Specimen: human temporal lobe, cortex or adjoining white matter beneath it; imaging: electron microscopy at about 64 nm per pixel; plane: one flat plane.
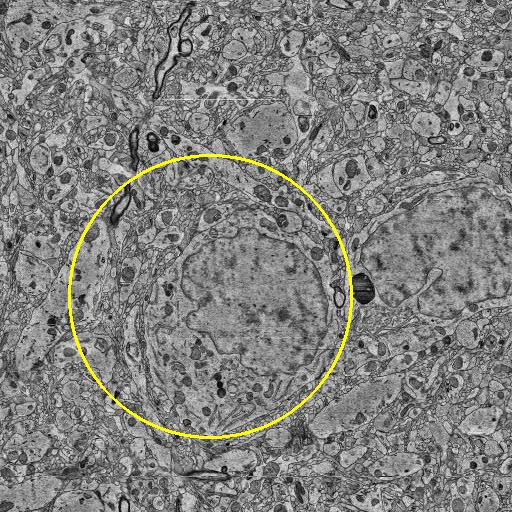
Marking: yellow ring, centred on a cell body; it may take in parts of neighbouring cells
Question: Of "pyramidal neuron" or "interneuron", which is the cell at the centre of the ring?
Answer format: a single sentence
The ring surrounds the body of an interneuron.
